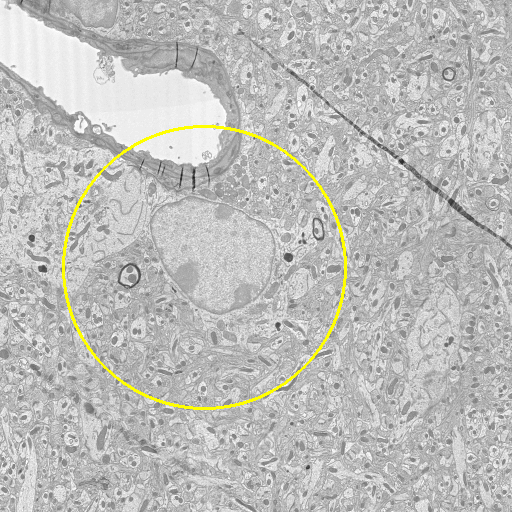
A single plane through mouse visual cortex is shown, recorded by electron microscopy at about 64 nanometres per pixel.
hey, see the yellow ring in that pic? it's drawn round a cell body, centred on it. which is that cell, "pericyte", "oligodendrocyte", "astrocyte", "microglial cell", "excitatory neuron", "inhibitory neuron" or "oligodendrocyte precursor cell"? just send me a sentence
The cell in the ring is an astrocyte.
